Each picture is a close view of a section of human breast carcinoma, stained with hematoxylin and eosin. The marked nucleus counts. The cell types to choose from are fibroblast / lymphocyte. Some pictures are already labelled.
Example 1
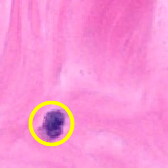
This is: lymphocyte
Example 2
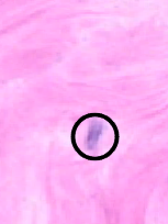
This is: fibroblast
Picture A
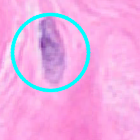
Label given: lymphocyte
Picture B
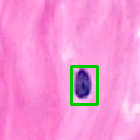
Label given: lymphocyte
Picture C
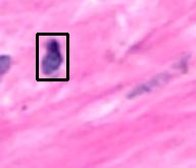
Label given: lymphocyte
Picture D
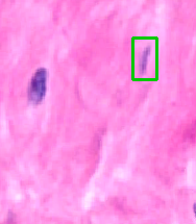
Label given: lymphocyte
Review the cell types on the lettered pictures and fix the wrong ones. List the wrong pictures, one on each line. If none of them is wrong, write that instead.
A: change lymphocyte to fibroblast
D: change lymphocyte to fibroblast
